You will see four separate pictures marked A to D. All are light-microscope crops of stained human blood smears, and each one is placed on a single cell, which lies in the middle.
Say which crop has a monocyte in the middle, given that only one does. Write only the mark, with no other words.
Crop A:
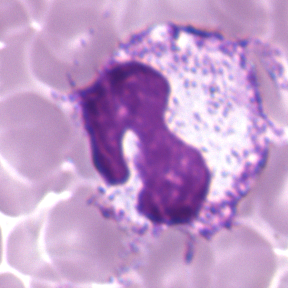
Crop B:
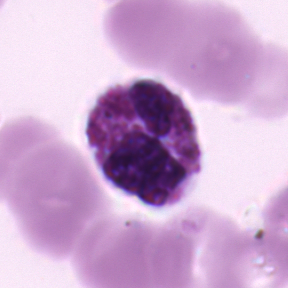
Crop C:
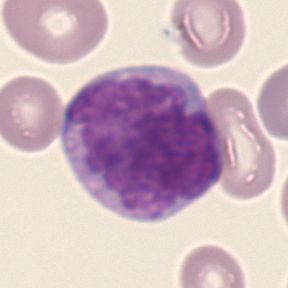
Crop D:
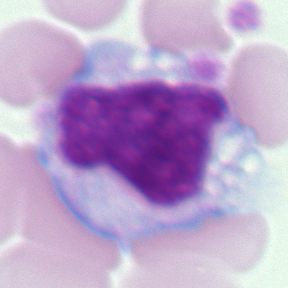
D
